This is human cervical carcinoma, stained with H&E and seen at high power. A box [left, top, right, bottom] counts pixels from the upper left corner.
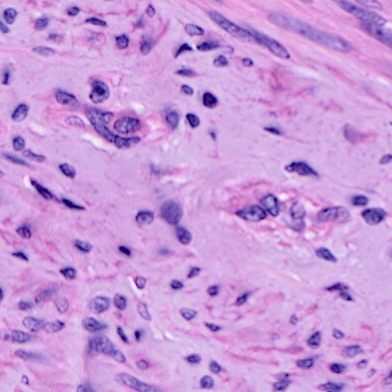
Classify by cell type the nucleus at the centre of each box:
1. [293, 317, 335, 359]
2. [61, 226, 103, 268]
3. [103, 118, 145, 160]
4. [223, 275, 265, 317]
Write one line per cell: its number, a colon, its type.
1: smooth muscle cell
2: fibroblast
3: endothelial cell
4: smooth muscle cell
